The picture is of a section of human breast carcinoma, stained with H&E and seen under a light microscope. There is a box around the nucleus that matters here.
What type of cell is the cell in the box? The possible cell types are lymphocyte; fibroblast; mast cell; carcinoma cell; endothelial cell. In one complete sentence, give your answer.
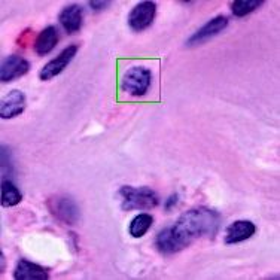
By cell type, the cell in the box is a mast cell.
